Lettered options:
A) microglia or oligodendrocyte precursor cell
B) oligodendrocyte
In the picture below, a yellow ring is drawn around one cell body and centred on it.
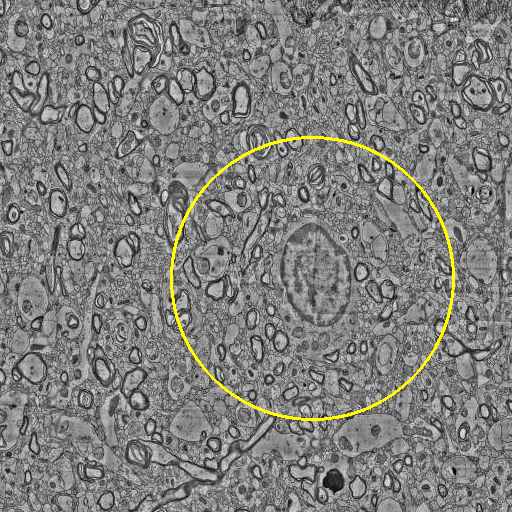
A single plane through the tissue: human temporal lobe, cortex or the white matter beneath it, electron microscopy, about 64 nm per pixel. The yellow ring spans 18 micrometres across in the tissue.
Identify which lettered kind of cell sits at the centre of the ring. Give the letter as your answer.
B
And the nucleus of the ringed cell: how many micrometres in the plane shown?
The ringed cell's nucleus is about 6 micrometres long and 4 micrometres wide in this plane.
